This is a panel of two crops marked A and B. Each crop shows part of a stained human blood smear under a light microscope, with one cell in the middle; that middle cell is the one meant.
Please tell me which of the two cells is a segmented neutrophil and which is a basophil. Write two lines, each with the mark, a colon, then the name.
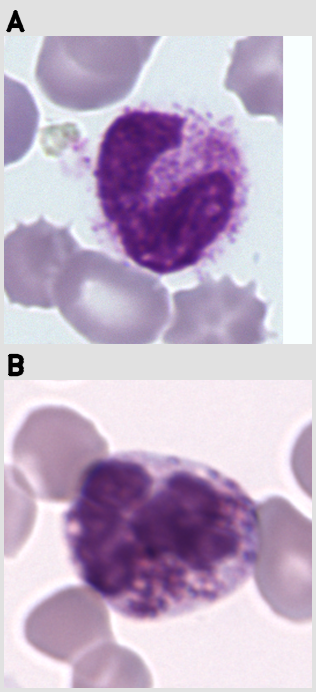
A: segmented neutrophil
B: basophil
